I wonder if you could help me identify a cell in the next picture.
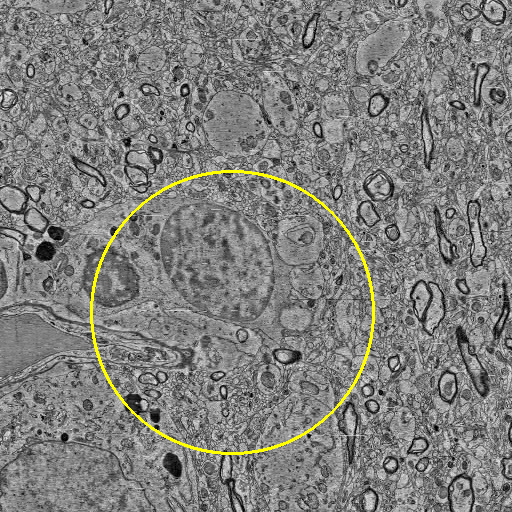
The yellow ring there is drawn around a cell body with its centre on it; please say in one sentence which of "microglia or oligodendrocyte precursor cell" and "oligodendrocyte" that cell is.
The yellow ring is centred on an oligodendrocyte.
